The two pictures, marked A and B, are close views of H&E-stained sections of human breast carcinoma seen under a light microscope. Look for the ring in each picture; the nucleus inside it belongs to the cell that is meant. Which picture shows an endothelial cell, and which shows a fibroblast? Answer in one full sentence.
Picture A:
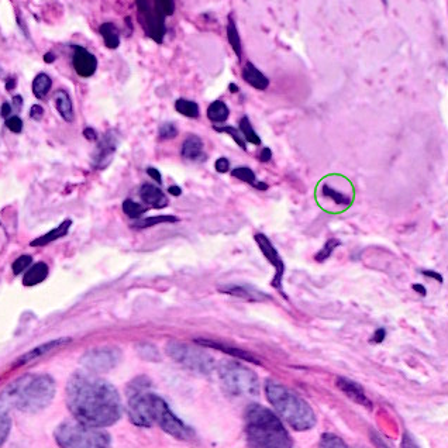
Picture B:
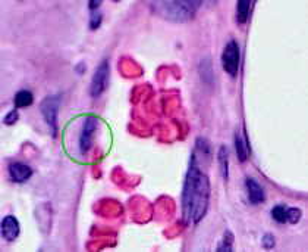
Picture A is of a fibroblast, and picture B is of an endothelial cell.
